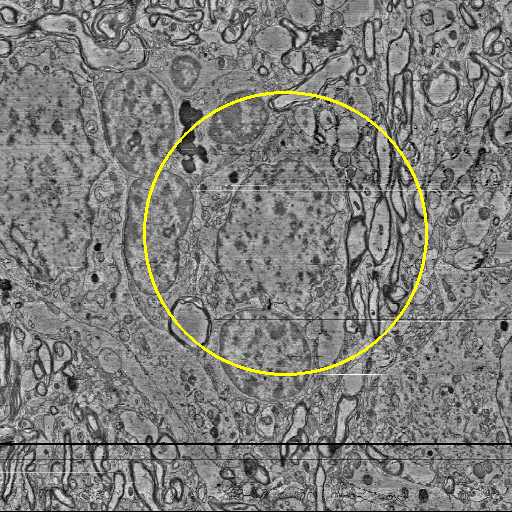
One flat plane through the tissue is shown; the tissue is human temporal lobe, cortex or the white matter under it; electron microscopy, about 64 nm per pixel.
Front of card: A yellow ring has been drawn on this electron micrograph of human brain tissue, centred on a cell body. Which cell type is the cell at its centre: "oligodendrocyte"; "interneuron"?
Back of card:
interneuron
